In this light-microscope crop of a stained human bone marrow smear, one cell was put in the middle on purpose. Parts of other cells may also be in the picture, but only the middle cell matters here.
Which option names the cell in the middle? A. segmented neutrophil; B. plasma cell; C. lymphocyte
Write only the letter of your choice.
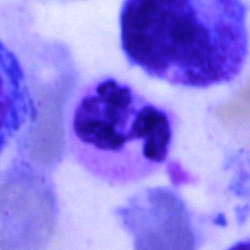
A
